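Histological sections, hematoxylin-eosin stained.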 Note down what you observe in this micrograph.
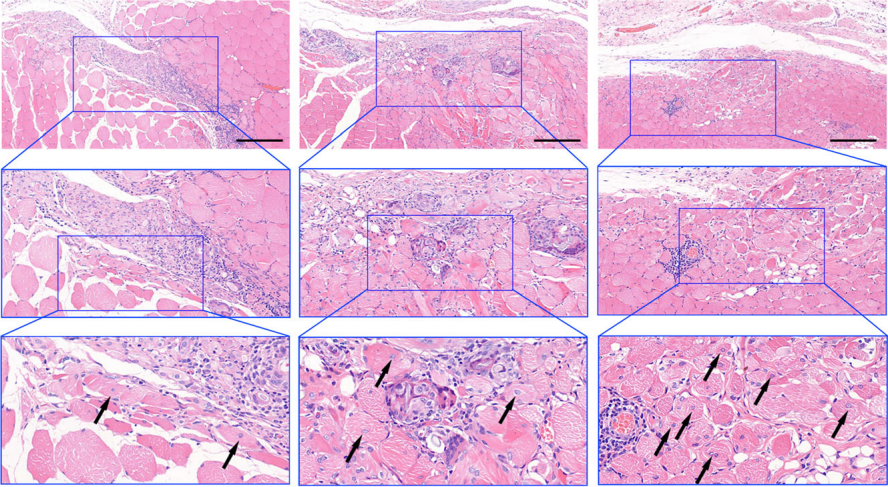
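These are cross-sections of skeletal muscle stained pink with scattered purple-blue nuclei, shown at three magnifications. Large pink myofibres border areas crowded with small, dark purple nuclei that lie between the fibres. Within these areas are many small, irregular fibres, some with a nucleus inside the fibre rather than at its edge, and there are clear, empty round spaces among them.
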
